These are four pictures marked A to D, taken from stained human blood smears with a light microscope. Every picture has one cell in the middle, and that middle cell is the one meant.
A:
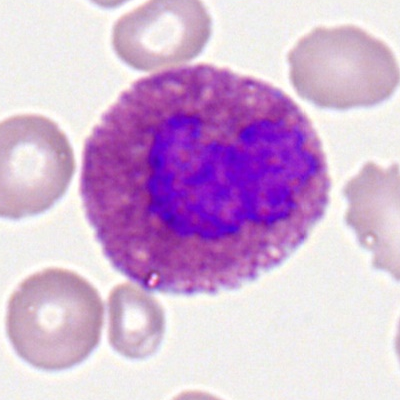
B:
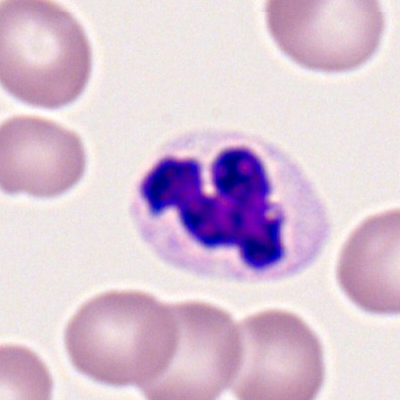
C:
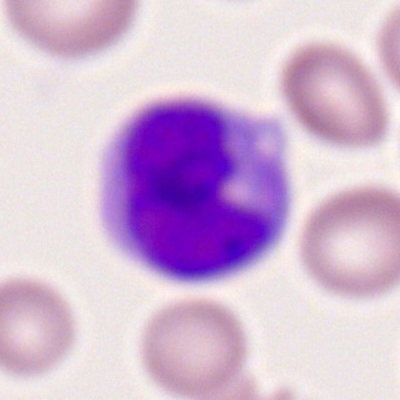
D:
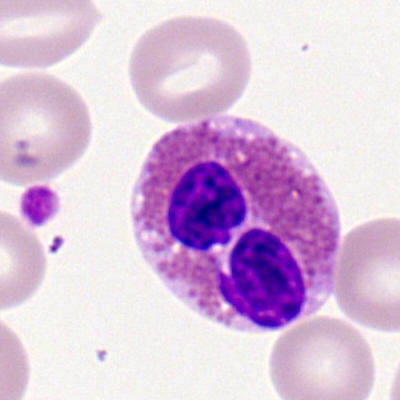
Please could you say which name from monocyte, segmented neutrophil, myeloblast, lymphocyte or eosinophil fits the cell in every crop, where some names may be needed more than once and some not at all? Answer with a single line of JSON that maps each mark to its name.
{"A": "eosinophil", "B": "segmented neutrophil", "C": "monocyte", "D": "eosinophil"}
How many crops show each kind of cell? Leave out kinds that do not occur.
eosinophil: 2
segmented neutrophil: 1
monocyte: 1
